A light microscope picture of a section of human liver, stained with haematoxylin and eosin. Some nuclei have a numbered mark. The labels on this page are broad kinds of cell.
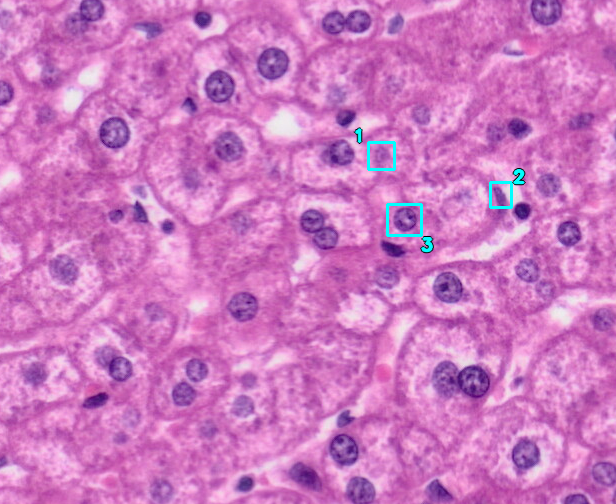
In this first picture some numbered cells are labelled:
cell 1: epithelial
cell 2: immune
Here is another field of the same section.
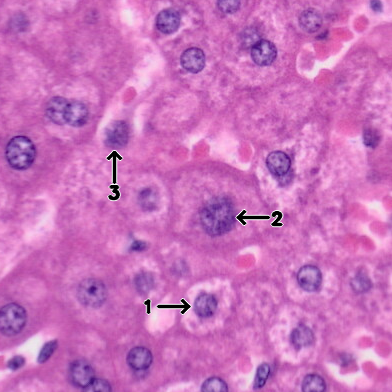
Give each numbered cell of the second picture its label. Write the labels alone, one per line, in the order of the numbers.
epithelial
epithelial
immune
